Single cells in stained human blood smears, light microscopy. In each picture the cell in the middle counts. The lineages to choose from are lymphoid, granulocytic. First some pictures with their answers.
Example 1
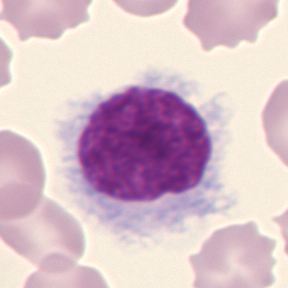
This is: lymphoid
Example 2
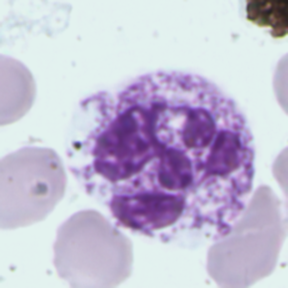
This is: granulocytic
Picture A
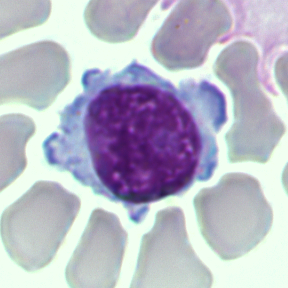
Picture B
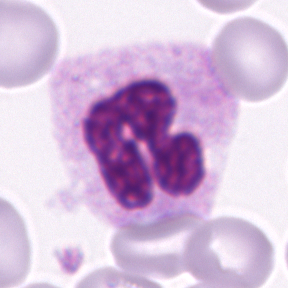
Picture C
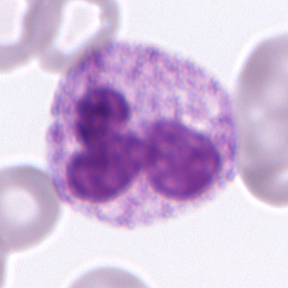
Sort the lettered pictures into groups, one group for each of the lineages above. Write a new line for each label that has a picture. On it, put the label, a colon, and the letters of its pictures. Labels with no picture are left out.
lymphoid: A
granulocytic: B, C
